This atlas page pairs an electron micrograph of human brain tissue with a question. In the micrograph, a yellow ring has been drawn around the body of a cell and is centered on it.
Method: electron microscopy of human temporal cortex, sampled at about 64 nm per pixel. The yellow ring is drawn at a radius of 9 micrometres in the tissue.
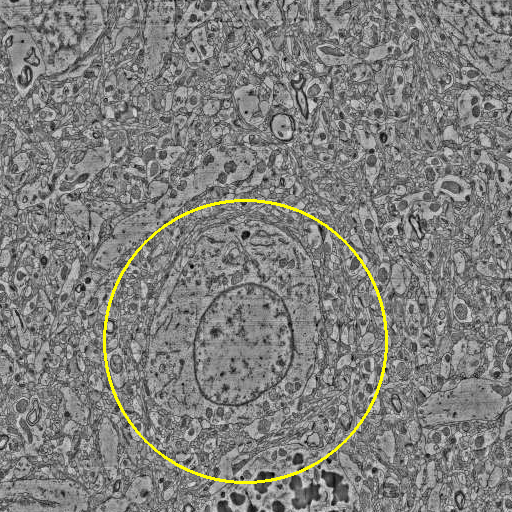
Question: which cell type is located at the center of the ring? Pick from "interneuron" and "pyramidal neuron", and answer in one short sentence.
Located at the center of the ring is a pyramidal neuron.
